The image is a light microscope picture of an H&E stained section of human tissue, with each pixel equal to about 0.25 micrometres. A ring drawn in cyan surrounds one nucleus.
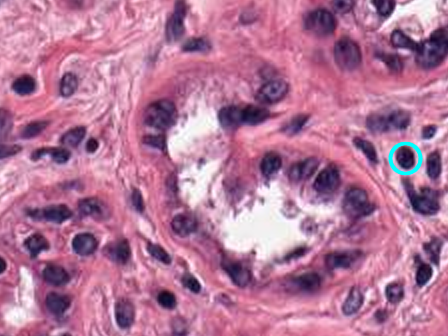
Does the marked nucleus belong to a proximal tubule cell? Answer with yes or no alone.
no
